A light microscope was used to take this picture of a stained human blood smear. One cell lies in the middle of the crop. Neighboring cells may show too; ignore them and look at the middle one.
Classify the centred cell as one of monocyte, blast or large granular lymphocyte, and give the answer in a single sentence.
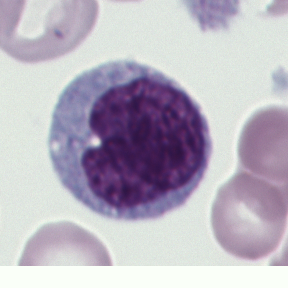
The centrally positioned cell in the crop represents a monocyte.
